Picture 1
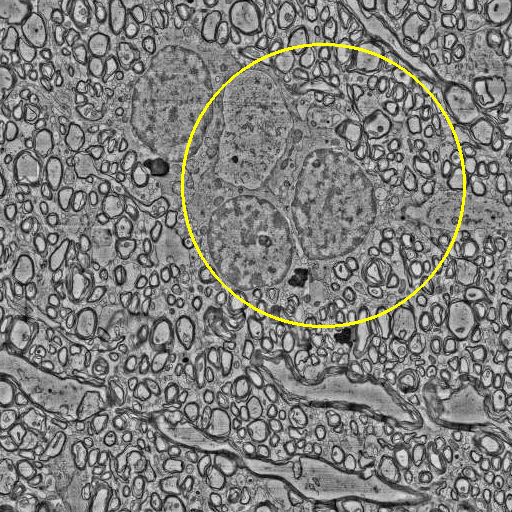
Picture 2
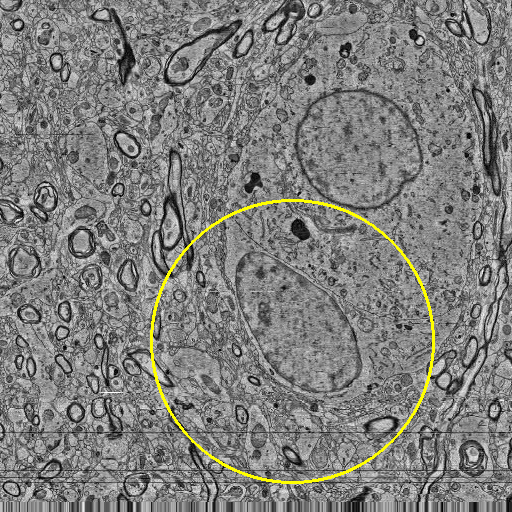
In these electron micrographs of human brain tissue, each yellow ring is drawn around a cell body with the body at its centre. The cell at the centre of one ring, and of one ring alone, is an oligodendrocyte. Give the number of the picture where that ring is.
1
